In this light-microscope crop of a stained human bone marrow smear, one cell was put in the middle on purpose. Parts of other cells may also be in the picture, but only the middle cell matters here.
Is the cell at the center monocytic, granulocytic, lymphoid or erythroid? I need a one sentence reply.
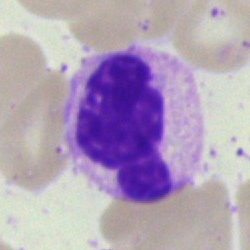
The lineage to which the central cell belongs is granulocytic.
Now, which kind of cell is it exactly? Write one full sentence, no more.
The cell found in the middle of this crop is a segmented neutrophil.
